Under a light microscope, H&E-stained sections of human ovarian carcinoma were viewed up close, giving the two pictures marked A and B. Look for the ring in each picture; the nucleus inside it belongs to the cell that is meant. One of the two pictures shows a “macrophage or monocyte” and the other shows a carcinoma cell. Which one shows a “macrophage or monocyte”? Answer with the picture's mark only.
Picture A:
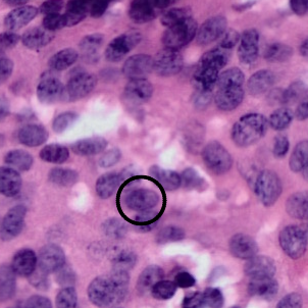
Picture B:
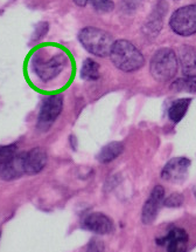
B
